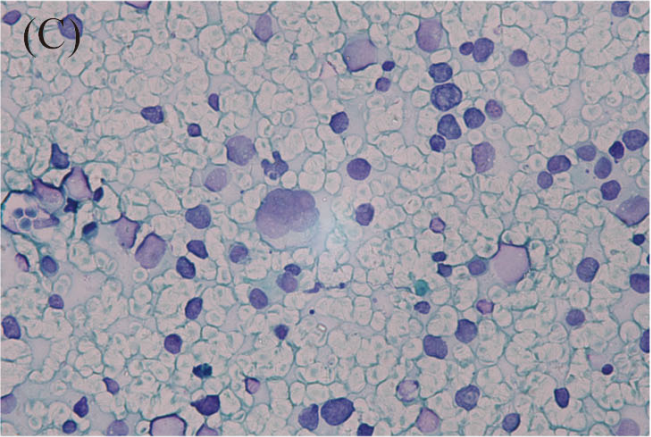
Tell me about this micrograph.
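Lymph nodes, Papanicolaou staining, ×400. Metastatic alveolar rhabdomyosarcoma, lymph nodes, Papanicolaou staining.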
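Scattered tumor cells lie singly over a dense background of pale red blood cells. Near the centre there is a large cell holding several overlapping purple nuclei within a shared pale cytoplasm. The surrounding cells are smaller and round, each with one dark blue nucleus that often fills most of the cell. Some pale, rounded cells with faintly staining, smooth contents lie between them. The cells are not arranged in groups but are spread apart across the field.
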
